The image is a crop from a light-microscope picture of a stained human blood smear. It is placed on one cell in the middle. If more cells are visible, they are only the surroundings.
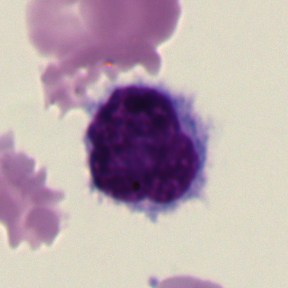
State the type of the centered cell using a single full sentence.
The cell marked by its central position in the crop is a hairy cell.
